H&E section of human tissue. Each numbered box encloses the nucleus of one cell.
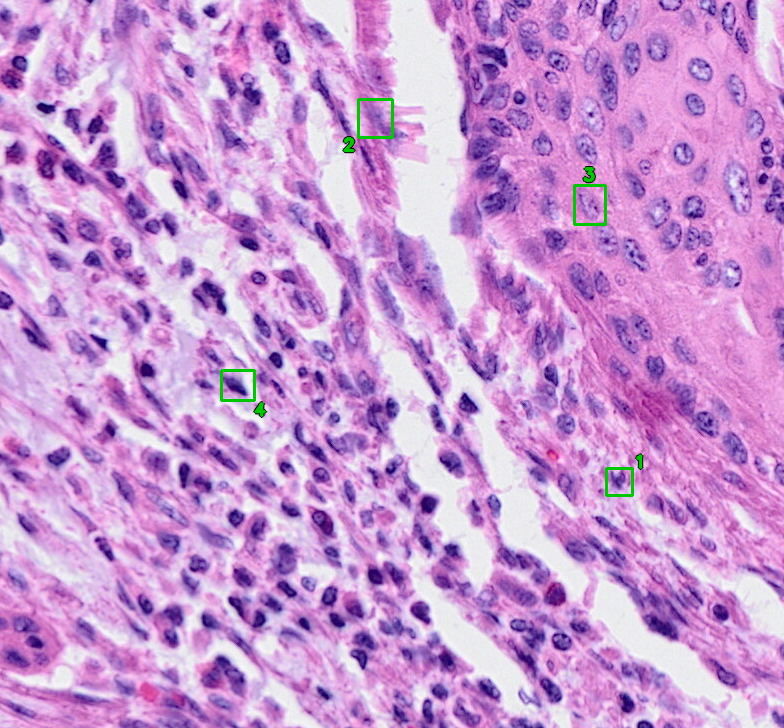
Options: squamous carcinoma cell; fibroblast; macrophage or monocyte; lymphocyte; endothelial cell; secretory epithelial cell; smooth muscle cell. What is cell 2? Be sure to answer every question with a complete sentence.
Cell 2, among those numbered, is a fibroblast.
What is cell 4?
The cell that carries the label 4 is a lymphocyte.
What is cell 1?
Cell 1 should be recorded as a fibroblast.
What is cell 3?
At number 3, the marked cell is a squamous carcinoma cell.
